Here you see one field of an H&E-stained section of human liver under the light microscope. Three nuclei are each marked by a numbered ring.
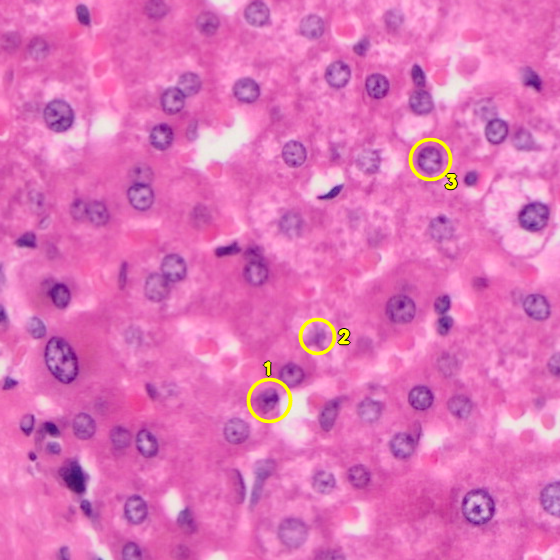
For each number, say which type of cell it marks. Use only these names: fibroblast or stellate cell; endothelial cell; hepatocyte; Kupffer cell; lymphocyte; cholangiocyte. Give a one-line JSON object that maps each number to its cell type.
{"1": "endothelial cell", "2": "hepatocyte", "3": "hepatocyte"}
